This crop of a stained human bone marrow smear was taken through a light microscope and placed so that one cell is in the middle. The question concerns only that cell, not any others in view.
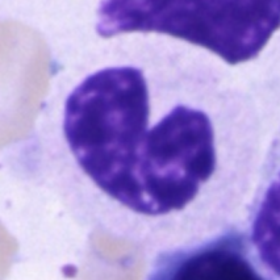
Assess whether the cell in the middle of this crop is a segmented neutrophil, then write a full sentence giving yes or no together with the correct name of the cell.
No, that guess of a segmented neutrophil misses; the central cell is a band neutrophil.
